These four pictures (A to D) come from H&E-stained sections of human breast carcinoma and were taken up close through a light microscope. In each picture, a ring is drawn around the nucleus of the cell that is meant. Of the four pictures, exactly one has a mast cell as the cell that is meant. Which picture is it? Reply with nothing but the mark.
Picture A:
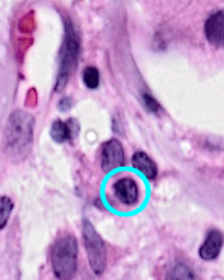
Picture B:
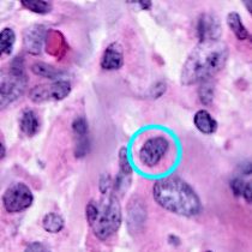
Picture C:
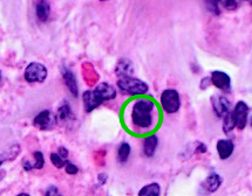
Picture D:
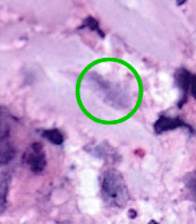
B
